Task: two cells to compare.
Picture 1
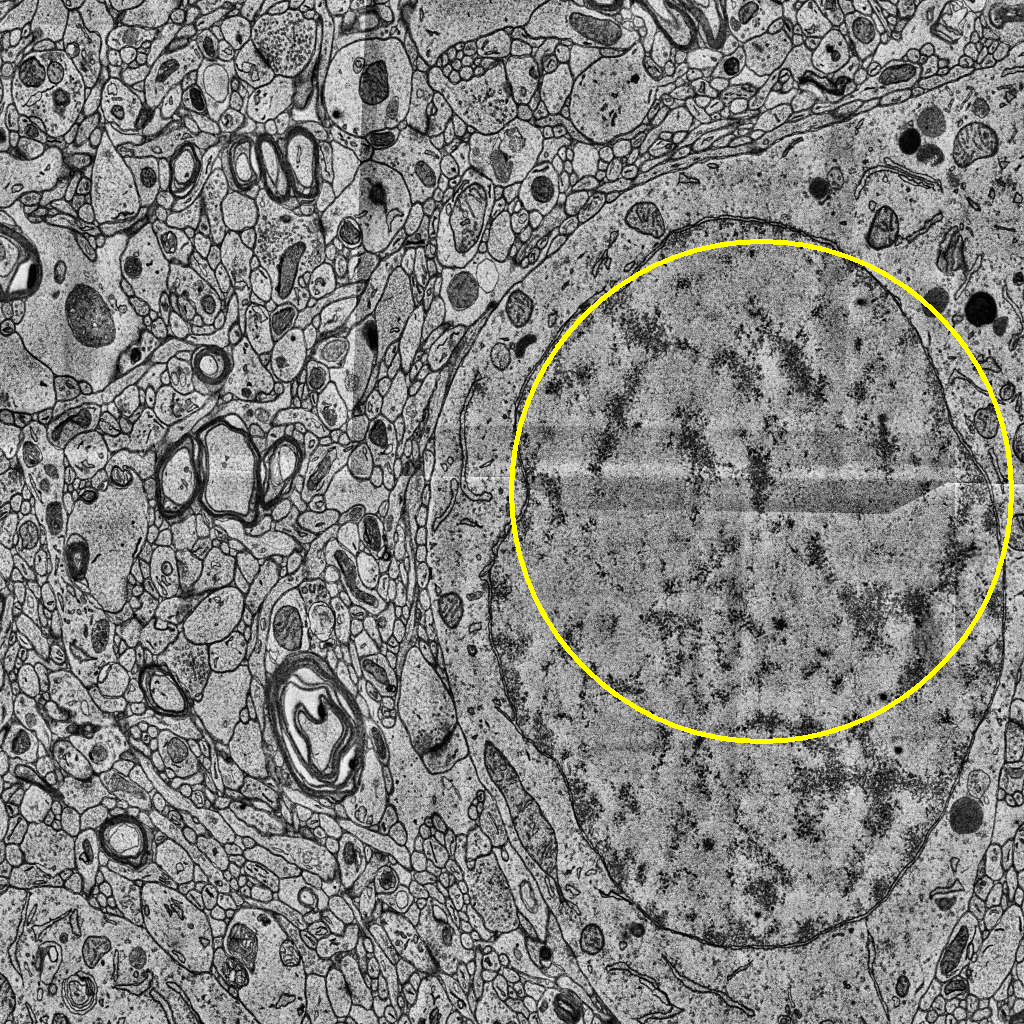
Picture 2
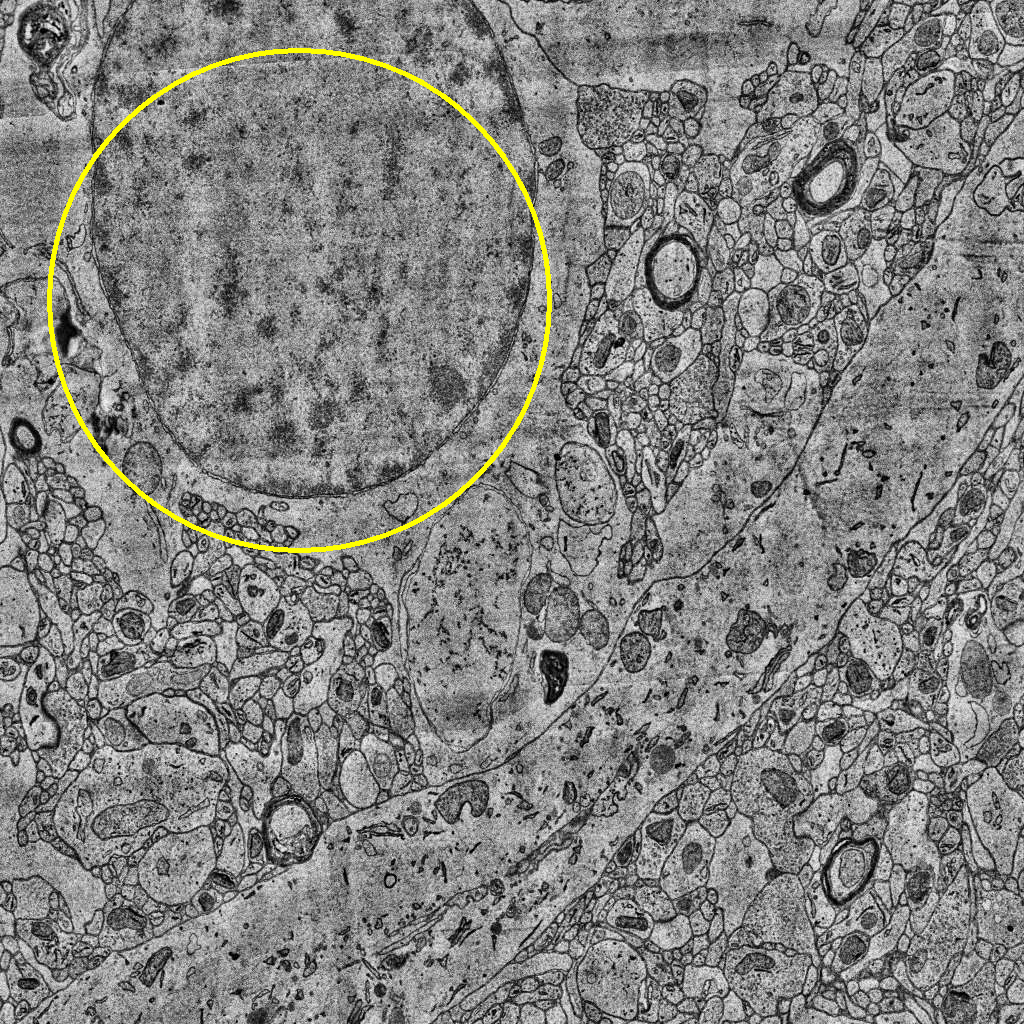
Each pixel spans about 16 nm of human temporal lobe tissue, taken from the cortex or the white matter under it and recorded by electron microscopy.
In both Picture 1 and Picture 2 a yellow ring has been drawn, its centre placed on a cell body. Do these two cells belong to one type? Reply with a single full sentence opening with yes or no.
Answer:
No, the two cells at the ring centres in Picture 1 and Picture 2 are of two types.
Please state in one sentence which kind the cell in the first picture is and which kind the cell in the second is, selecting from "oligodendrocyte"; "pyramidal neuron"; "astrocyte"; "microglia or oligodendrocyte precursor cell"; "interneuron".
The first picture has a pyramidal neuron in its ring, the second has an astrocyte.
